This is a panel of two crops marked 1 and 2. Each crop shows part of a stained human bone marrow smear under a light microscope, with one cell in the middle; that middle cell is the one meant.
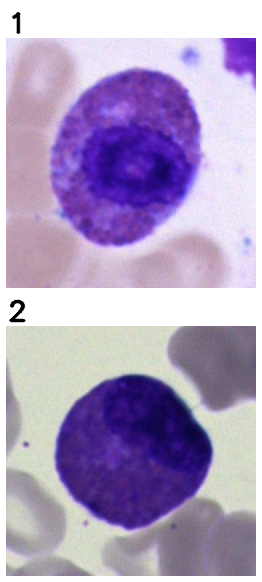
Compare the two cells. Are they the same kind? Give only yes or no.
yes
